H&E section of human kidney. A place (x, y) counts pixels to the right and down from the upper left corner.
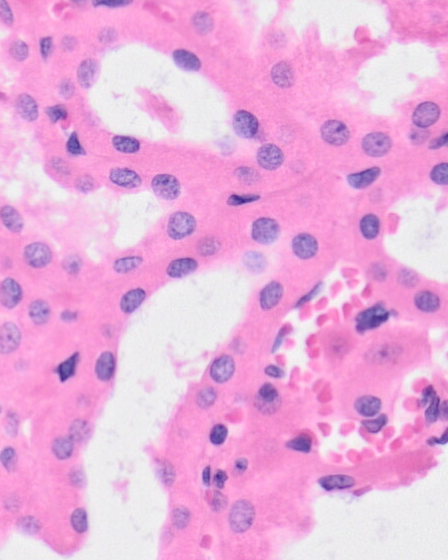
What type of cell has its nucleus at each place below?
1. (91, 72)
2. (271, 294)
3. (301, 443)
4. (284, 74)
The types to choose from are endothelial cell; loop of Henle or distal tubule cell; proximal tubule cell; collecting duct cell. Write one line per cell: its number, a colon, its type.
1: loop of Henle or distal tubule cell
2: loop of Henle or distal tubule cell
3: endothelial cell
4: proximal tubule cell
